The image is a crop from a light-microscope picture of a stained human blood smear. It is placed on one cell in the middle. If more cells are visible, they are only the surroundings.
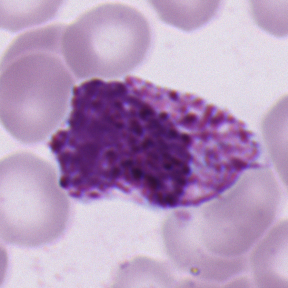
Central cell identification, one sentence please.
Centred in the crop is a basophil.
